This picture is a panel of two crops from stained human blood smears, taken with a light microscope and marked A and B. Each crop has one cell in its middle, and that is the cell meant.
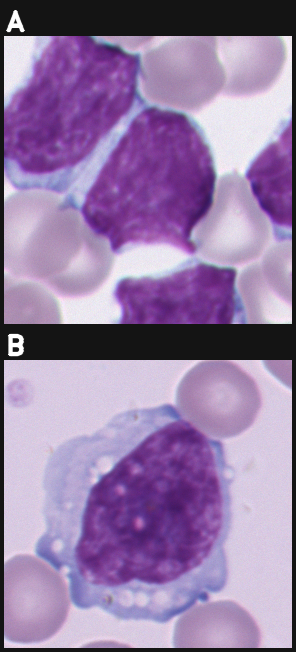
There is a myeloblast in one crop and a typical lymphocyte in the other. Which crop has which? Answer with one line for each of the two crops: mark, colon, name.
A: typical lymphocyte
B: myeloblast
